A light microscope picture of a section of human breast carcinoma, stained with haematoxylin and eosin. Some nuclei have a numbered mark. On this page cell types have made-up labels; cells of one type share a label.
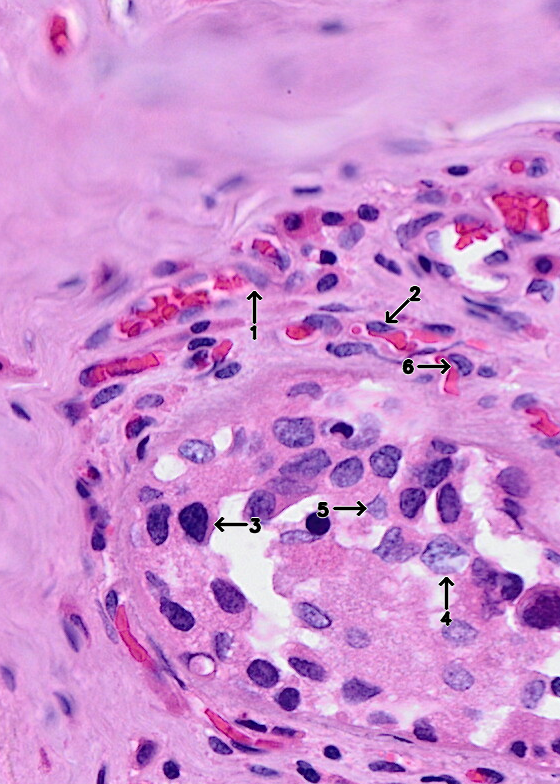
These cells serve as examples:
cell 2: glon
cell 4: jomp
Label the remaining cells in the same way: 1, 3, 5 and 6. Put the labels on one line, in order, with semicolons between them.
glon; jomp; jomp; glon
